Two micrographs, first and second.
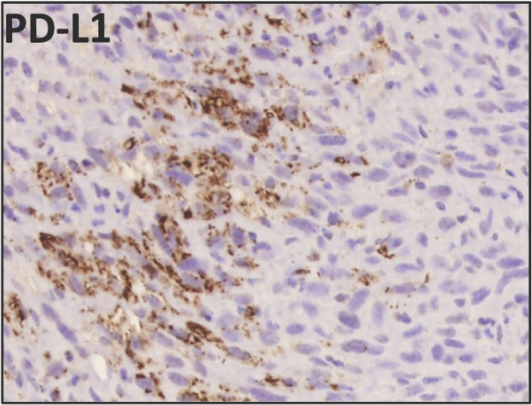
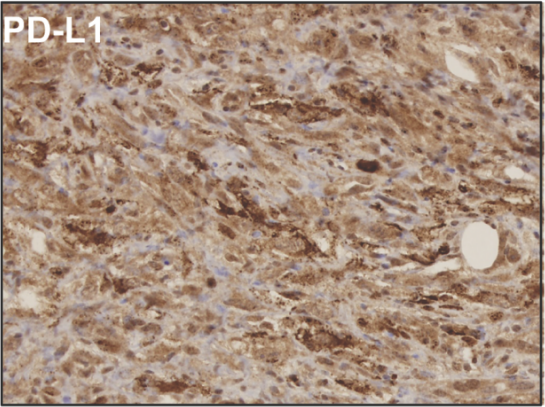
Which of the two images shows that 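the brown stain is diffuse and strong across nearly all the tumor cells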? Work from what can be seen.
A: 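First image: brown granular stain is patchy, mainly in the left part, with many cells only blue.
The second image.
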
